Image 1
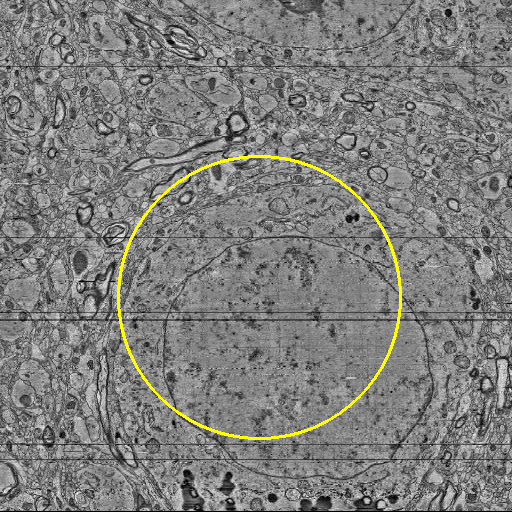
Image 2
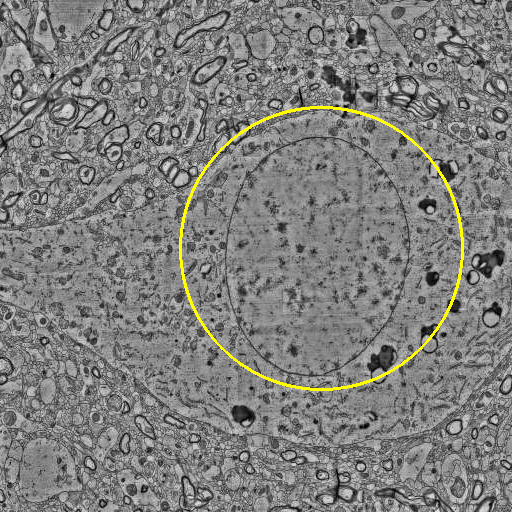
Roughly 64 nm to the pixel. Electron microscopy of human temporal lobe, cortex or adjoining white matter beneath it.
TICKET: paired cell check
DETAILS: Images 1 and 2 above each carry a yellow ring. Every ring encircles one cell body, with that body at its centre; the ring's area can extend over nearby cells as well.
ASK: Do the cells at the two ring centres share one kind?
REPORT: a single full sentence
Yes, the ring-centre cells of Images 1 and 2 belong to a single kind.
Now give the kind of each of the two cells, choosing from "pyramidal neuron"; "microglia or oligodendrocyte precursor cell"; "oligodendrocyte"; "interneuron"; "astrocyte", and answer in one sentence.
Both pictures show a pyramidal neuron at the centre of the ring.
